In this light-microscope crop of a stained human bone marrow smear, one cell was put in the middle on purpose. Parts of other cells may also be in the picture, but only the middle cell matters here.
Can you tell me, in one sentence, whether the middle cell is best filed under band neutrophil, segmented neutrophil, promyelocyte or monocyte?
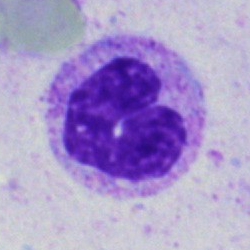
Centred in the crop is a band neutrophil.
